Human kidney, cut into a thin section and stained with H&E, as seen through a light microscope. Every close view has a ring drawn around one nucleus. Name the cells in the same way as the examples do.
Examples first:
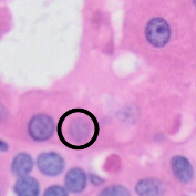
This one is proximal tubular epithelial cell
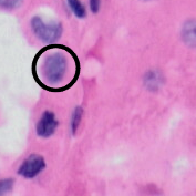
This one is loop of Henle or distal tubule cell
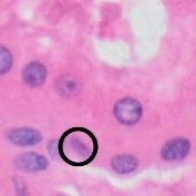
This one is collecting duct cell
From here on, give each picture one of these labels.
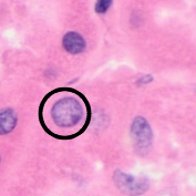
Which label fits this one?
proximal tubular epithelial cell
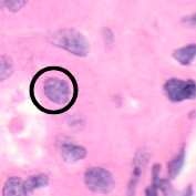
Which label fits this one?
loop of Henle or distal tubule cell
